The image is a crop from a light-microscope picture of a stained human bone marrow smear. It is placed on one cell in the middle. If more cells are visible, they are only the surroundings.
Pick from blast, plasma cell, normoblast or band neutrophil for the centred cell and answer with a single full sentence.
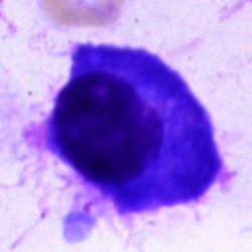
Of the cells in this crop, the central one is a plasma cell.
